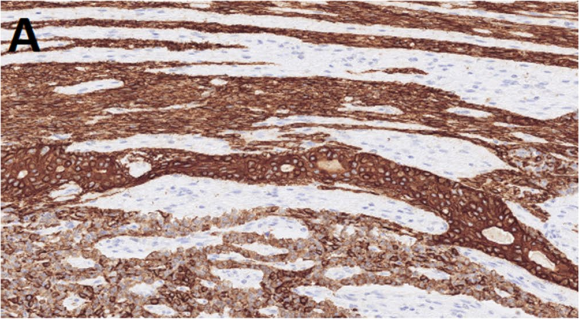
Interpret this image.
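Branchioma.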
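Here both parts of the tumour, spindle cells and epithelium, take up the brown stain. Long bands of brown-stained tissue run across the field in pale, loose stroma. In the middle, a cohesive sheet of polygonal epithelial cells with small round lumens is stained deep brown, and further down smaller brown cell clusters form a network around pale spaces. The nuclei show as blue dots within the brown cytoplasm.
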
